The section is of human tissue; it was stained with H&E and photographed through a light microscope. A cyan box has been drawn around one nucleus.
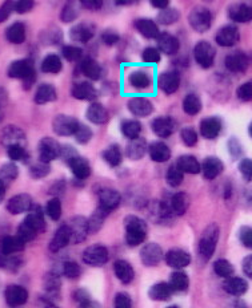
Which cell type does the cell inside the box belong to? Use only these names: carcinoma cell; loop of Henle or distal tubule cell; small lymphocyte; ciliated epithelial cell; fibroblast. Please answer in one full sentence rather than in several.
So far as cell type goes, the cell inside the box is a small lymphocyte.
